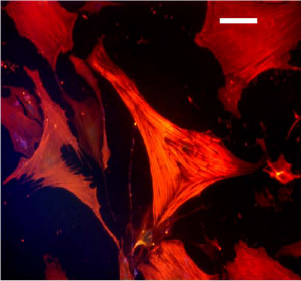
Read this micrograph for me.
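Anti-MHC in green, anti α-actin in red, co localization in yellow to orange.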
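The cells are very large, flattened and widely spread, with broad sheets of cytoplasm that overlap one another and taper into long extensions. Their cytoplasm is packed with bright red filaments arranged as long, roughly parallel bundles that run the length of each cell, giving a striated, fibrous look. Between the cells lie dark gaps.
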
